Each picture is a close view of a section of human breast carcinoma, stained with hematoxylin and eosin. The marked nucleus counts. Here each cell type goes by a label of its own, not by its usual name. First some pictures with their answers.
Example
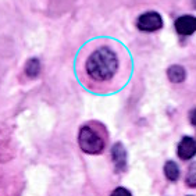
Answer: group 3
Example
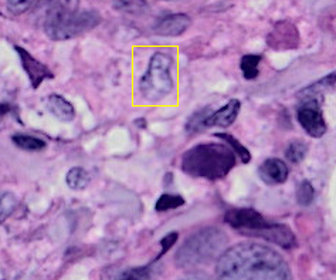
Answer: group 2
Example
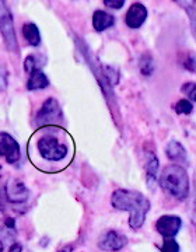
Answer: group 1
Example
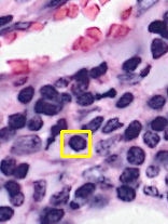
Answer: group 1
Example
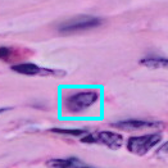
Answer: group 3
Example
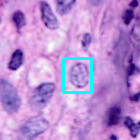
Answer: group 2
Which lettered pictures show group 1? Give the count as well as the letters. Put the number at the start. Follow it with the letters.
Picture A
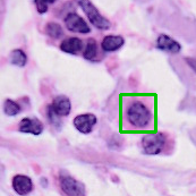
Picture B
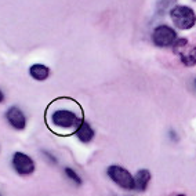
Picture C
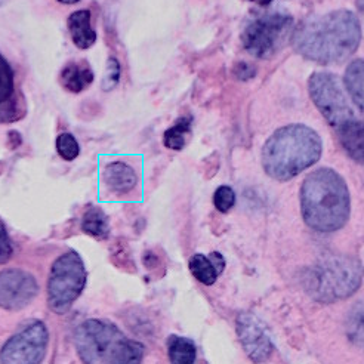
1: B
